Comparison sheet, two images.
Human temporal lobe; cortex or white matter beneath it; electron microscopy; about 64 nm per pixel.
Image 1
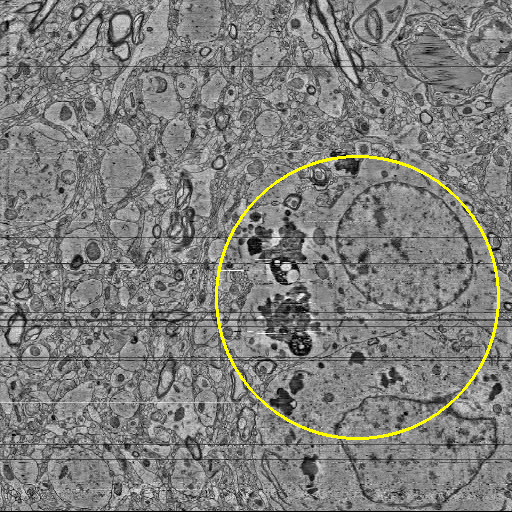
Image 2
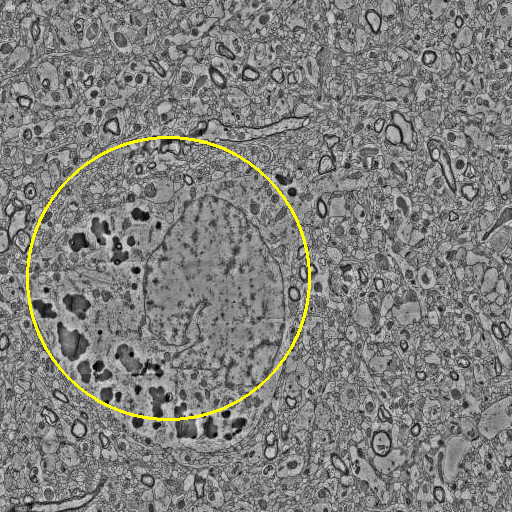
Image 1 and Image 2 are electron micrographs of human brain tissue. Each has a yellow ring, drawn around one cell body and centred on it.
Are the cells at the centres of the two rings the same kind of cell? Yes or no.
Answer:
no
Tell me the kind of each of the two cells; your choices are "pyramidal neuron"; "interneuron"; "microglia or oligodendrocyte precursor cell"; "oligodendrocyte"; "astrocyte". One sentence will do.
The ringed cell is an astrocyte in the first picture and an interneuron in the second picture.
